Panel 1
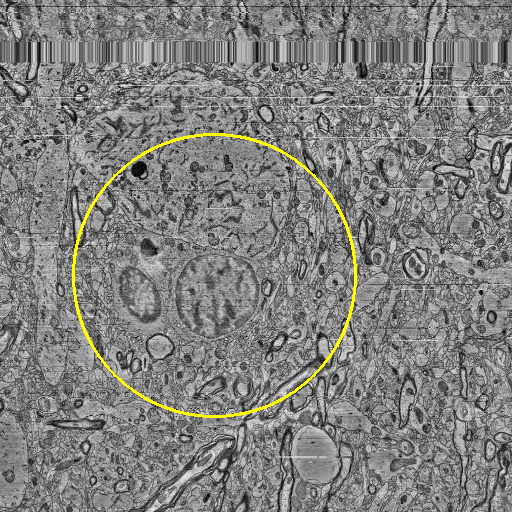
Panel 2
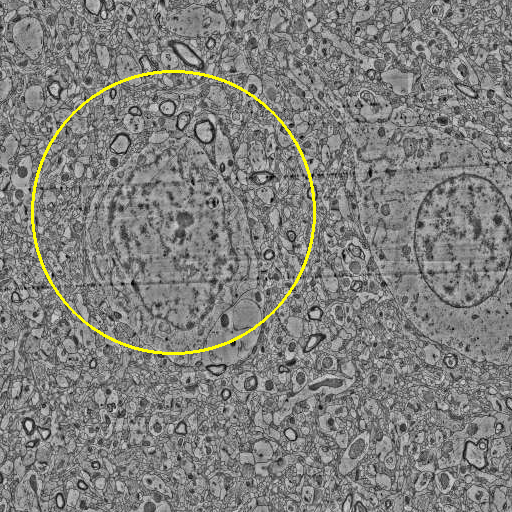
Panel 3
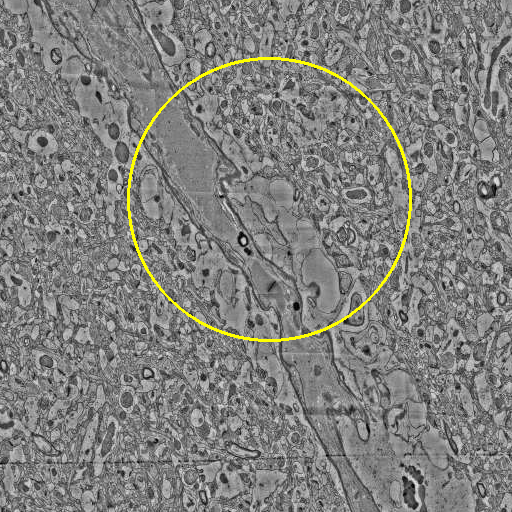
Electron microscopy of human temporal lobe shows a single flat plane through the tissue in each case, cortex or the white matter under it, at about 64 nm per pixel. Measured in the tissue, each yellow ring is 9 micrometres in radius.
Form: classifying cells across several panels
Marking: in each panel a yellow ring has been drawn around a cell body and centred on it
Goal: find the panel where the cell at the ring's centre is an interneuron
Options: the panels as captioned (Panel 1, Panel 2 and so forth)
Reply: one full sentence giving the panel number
Panel 2 shows the wanted cell at the centre of its ring.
